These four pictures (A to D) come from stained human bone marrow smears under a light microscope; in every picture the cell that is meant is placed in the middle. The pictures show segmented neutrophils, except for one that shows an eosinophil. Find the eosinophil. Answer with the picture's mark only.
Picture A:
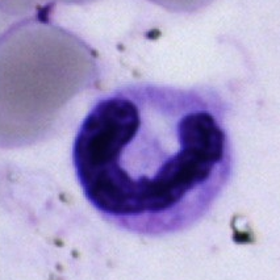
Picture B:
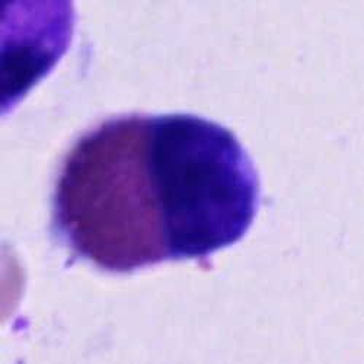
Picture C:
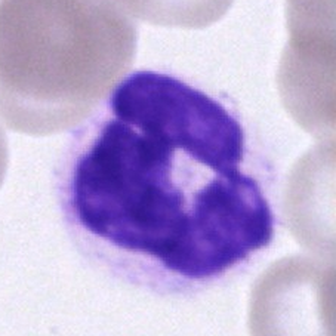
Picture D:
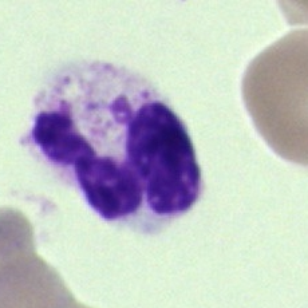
B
